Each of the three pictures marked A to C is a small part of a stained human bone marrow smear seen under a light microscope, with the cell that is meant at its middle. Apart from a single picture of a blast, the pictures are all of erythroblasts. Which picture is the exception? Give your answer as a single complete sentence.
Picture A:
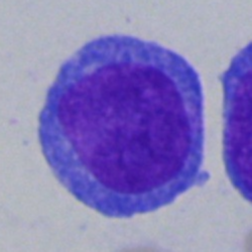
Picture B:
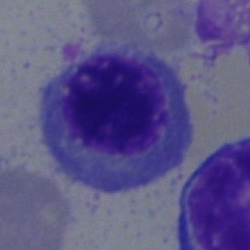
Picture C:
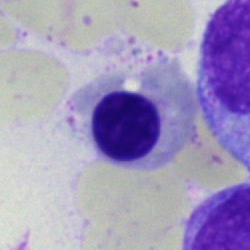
Picture A shows the blast.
